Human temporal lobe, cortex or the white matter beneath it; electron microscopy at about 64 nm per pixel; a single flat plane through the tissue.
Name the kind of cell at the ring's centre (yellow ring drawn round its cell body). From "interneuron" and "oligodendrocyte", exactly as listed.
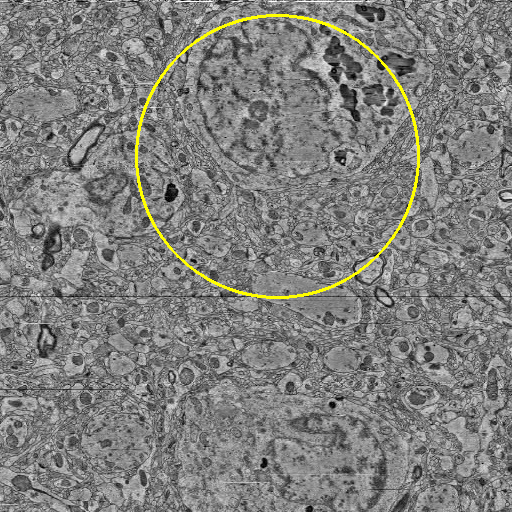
interneuron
